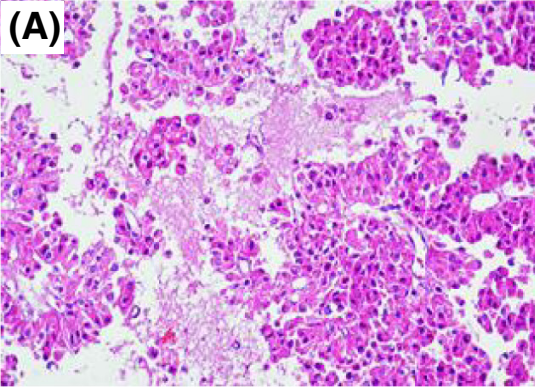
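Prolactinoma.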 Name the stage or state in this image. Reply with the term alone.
Monomorphic eosinophilic cells.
